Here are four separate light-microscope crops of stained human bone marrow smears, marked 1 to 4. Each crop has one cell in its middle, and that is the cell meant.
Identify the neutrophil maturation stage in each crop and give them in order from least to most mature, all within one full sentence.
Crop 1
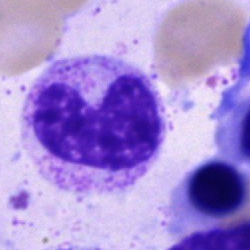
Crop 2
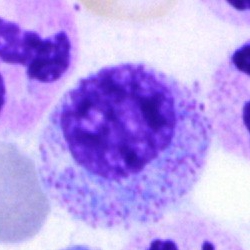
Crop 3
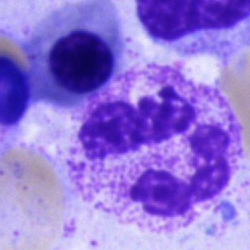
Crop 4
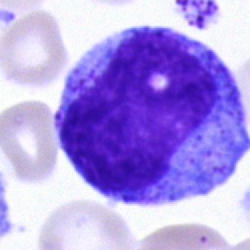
In sequence of increasing maturity, the order is crop 4 (a promyelocyte), crop 2 (a myelocyte), crop 1 (a metamyelocyte) and crop 3 (a segmented neutrophil).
